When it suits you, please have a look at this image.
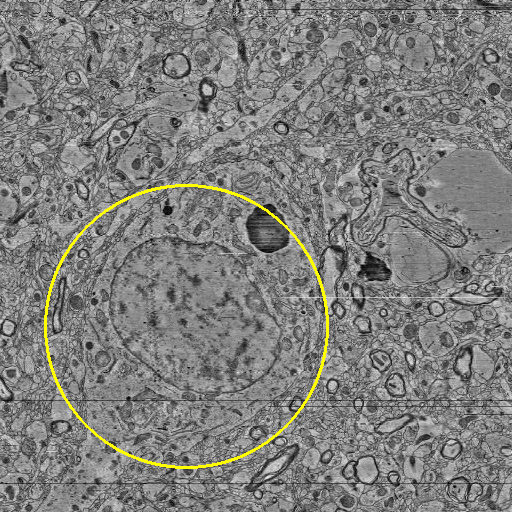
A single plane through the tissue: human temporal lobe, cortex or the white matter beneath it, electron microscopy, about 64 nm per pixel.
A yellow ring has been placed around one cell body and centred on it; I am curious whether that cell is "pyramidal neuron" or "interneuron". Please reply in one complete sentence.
The ringed cell, an interneuron, has its body at the centre of the yellow ring.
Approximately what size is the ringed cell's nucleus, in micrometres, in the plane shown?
In this plane, approximately 12 by 9 micrometers.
